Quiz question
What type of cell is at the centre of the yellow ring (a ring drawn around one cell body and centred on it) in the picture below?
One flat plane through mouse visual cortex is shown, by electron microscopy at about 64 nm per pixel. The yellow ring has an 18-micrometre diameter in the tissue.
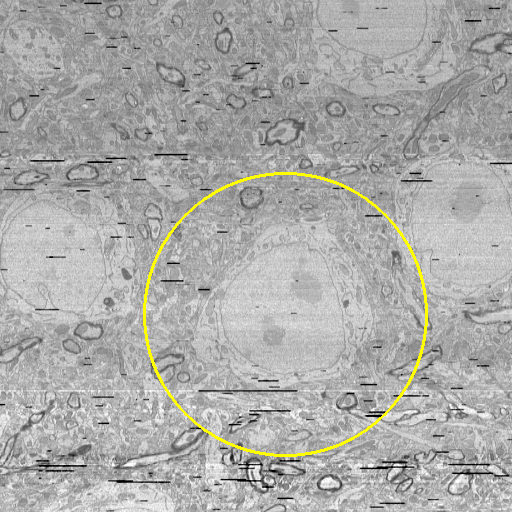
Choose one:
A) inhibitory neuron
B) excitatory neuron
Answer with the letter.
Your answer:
B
